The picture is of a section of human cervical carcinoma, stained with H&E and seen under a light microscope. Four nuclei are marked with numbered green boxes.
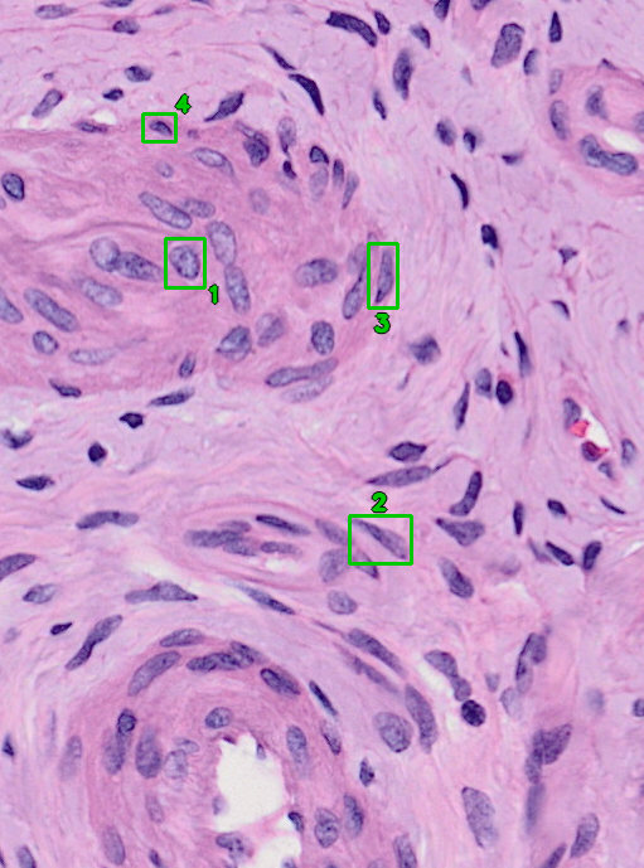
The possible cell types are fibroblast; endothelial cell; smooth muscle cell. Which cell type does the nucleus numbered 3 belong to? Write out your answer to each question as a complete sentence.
Identified by the number 3, the cell is a smooth muscle cell.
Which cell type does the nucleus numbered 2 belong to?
The cell pointed out as number 2 is a fibroblast.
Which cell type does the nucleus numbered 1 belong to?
Of the numbered cells, the one labelled 1 is a smooth muscle cell.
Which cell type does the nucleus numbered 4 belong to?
Here the cell numbered 4 is a smooth muscle cell.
